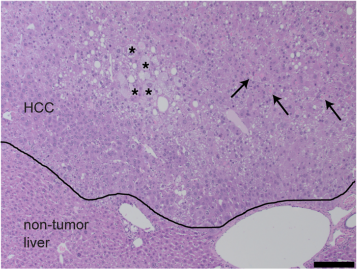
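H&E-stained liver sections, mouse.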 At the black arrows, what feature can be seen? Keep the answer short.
eosinophilic hyaline globules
